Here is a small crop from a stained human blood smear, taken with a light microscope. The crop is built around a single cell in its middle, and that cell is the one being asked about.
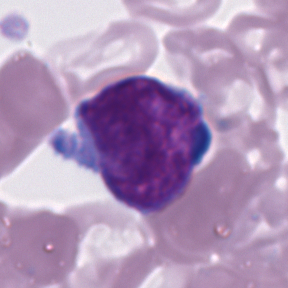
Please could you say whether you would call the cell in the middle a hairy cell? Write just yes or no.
no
